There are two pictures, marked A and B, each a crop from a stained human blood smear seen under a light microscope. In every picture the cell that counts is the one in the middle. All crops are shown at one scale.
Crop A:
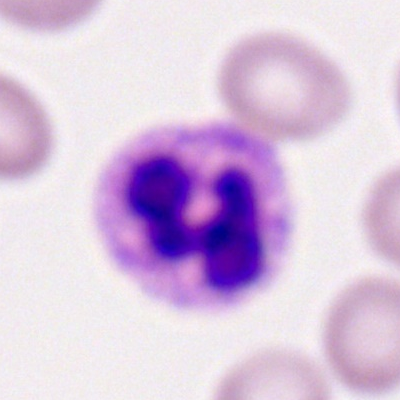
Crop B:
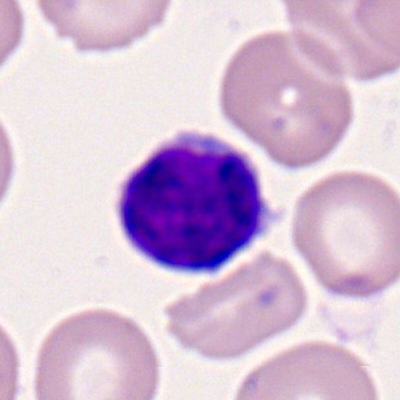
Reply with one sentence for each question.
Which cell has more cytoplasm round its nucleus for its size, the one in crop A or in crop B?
Of the two, the nucleus in crop A leaves more room for cytoplasm.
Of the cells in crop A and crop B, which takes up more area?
It is the cell in crop A, about 1.5 times as large in area as the cell in crop B.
